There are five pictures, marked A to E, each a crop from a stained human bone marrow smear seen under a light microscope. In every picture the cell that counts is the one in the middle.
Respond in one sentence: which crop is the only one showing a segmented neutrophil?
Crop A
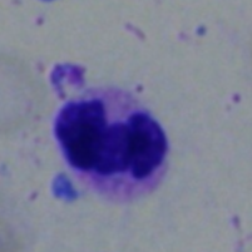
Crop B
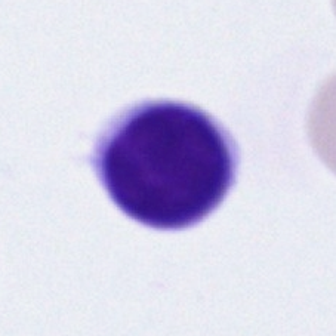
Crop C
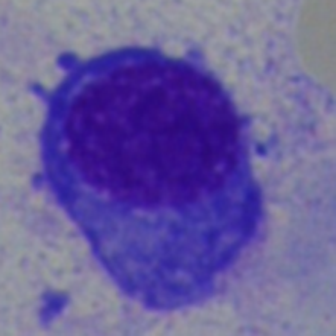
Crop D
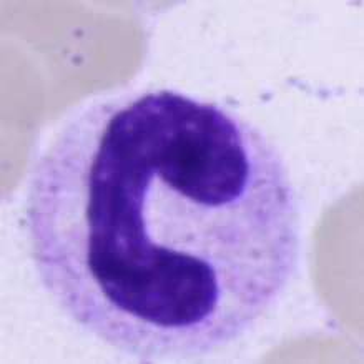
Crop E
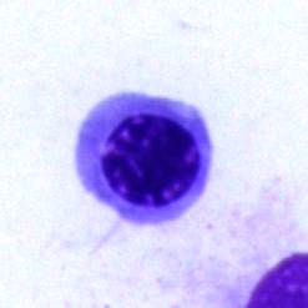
Of the crops given, a segmented neutrophil is found in crop A.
